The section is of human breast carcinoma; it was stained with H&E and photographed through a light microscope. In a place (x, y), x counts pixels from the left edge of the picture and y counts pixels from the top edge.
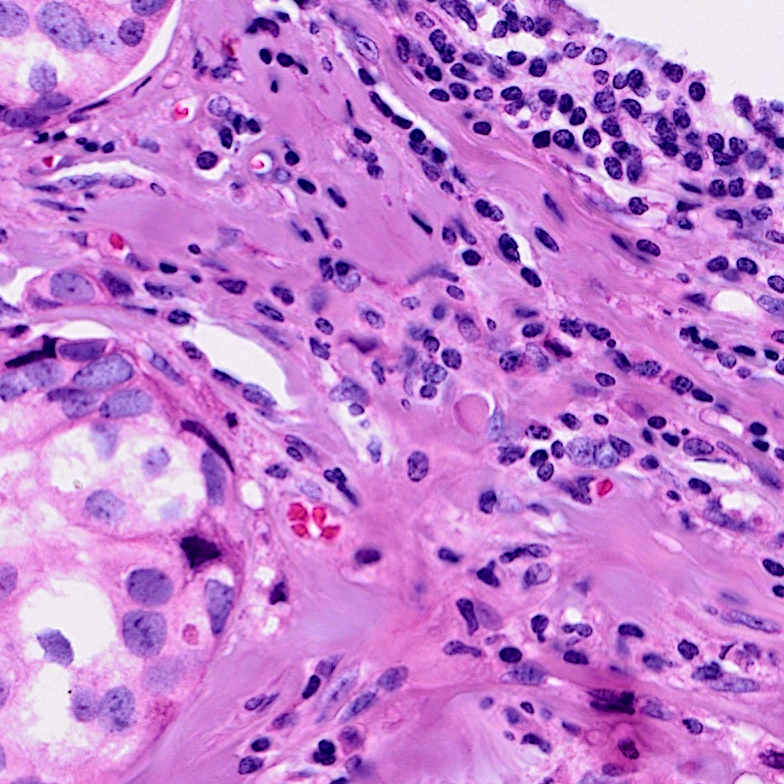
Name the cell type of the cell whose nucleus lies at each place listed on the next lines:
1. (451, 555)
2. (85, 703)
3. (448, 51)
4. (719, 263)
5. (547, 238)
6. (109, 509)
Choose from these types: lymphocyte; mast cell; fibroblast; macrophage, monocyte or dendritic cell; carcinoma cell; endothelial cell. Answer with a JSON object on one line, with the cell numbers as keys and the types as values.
{"1": "lymphocyte", "2": "carcinoma cell", "3": "lymphocyte", "4": "lymphocyte", "5": "lymphocyte", "6": "carcinoma cell"}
